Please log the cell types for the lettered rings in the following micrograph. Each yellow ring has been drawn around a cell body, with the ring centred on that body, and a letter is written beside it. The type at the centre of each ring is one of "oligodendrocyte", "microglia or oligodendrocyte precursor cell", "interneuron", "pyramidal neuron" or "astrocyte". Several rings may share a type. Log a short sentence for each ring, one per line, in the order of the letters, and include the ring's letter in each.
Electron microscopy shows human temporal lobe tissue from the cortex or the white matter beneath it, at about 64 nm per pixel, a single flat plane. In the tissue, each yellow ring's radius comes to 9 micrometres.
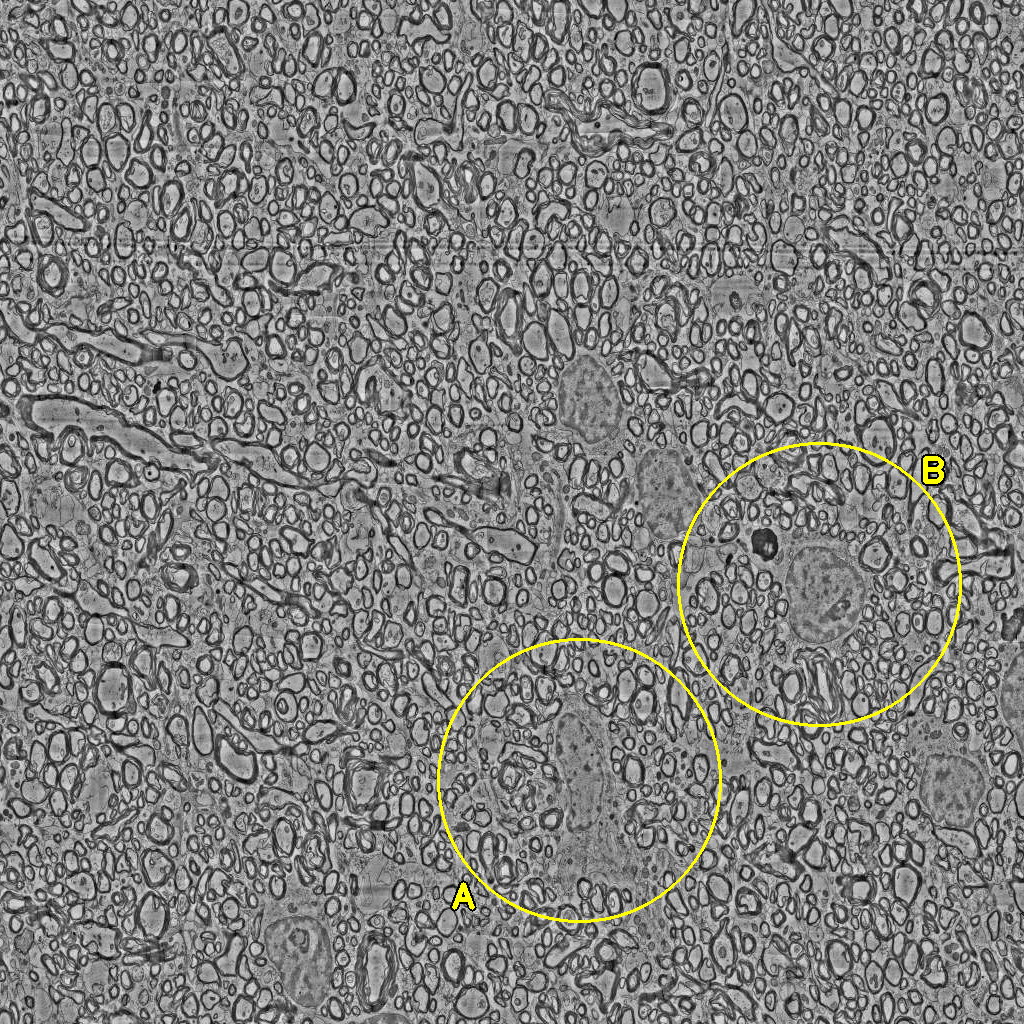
In ring A the central cell is an astrocyte.
In ring B the central cell is an oligodendrocyte.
